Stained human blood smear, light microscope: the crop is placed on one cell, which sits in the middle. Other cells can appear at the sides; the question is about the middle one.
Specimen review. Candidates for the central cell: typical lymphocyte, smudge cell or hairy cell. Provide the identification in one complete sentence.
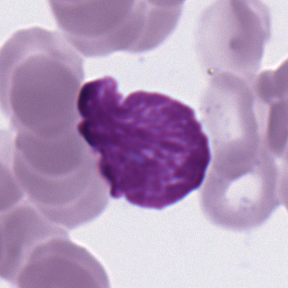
The cell that lies at the centre of the crop is a smudge cell.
